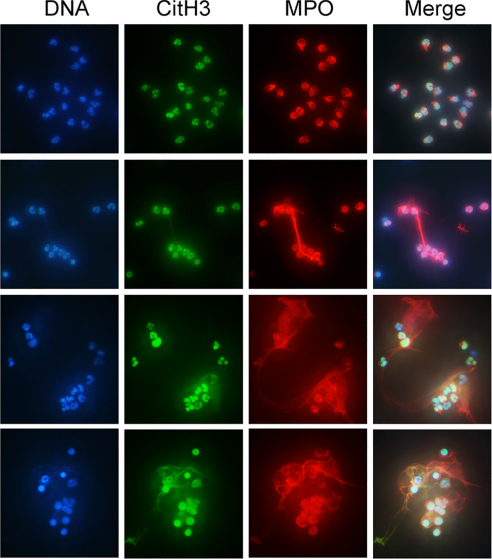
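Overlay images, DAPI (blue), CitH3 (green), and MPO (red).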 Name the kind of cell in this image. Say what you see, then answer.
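Small rounded cells of roughly uniform size. Compact nuclei, some of them lobed. Thin red strands and sheets stretch out beyond the cells in several fields. So: granulocytes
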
